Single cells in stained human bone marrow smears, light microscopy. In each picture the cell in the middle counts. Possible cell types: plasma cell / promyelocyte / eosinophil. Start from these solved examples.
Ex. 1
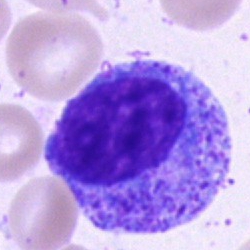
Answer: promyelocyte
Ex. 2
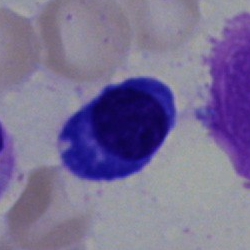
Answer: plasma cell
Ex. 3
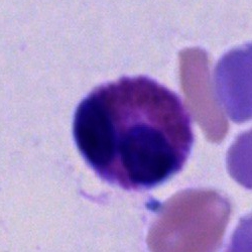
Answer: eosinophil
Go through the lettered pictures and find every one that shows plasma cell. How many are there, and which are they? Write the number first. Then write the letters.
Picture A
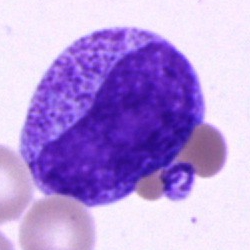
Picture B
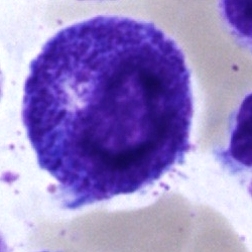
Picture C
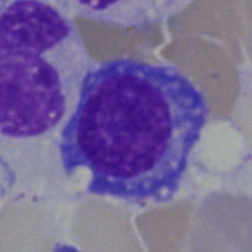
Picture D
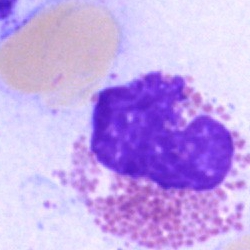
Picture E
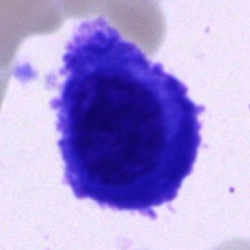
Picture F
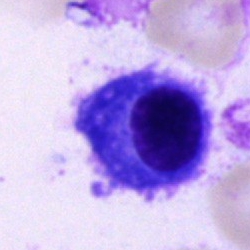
Count: 3 (C, E, F)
